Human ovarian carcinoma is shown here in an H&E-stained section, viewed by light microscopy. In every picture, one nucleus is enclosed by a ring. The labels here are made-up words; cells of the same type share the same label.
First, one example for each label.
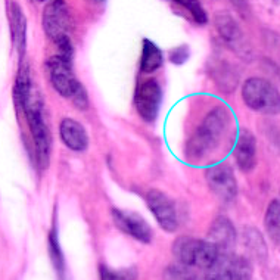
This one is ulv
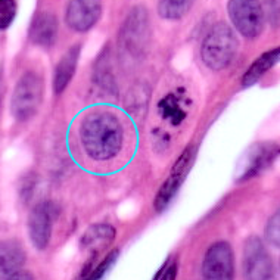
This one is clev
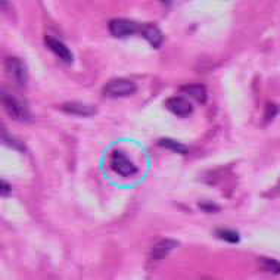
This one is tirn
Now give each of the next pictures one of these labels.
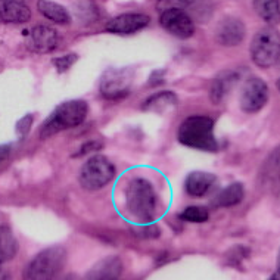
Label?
ulv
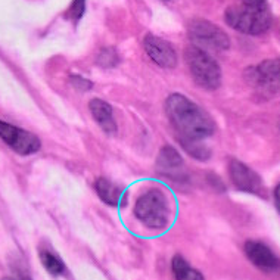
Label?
clev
